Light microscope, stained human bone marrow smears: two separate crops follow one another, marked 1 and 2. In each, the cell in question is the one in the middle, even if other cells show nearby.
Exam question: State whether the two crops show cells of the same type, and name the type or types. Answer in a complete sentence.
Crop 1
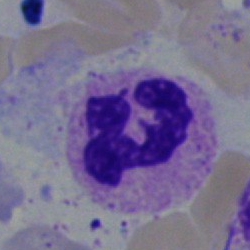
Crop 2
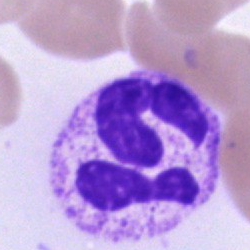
Yes, both crops show neutrophils in the middle.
